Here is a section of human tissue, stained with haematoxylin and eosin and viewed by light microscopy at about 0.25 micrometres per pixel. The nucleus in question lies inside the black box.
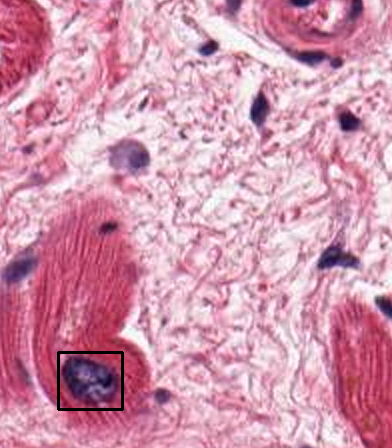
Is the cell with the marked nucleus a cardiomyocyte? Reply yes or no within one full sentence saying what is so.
Yes, the marked nucleus is one that belongs to a cardiomyocyte.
